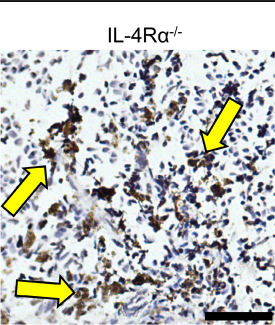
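Scattered among them are several irregular clusters of cells stained dark brown. Three of these clusters are marked by yellow arrows, at the upper left, the upper right and the lower left of the field. The brown material lies in clumps and granules over the cells, and it stands out sharply against the surrounding blue-purple nuclei. Between the brown patches the tissue looks like the unstained areas, with closely packed nuclei and little visible cytoplasm.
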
